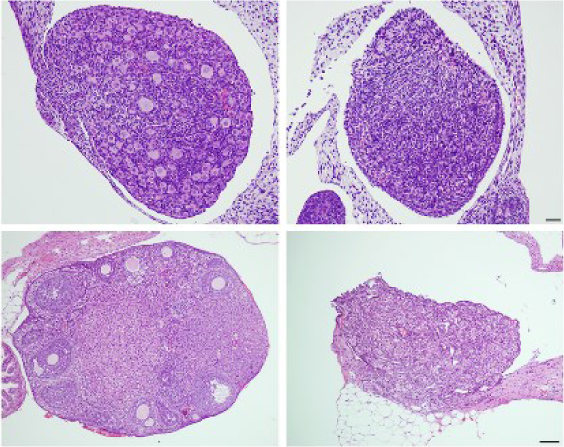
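Ovary sections stained purple and pink. In the lower left image a large ovary shows follicles of several sizes, some with clear fluid-filled cavities, set in abundant stroma. The lower right ovary is much smaller, compact, made of stromal tissue without visible follicles, with pale fat tissue beside it.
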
